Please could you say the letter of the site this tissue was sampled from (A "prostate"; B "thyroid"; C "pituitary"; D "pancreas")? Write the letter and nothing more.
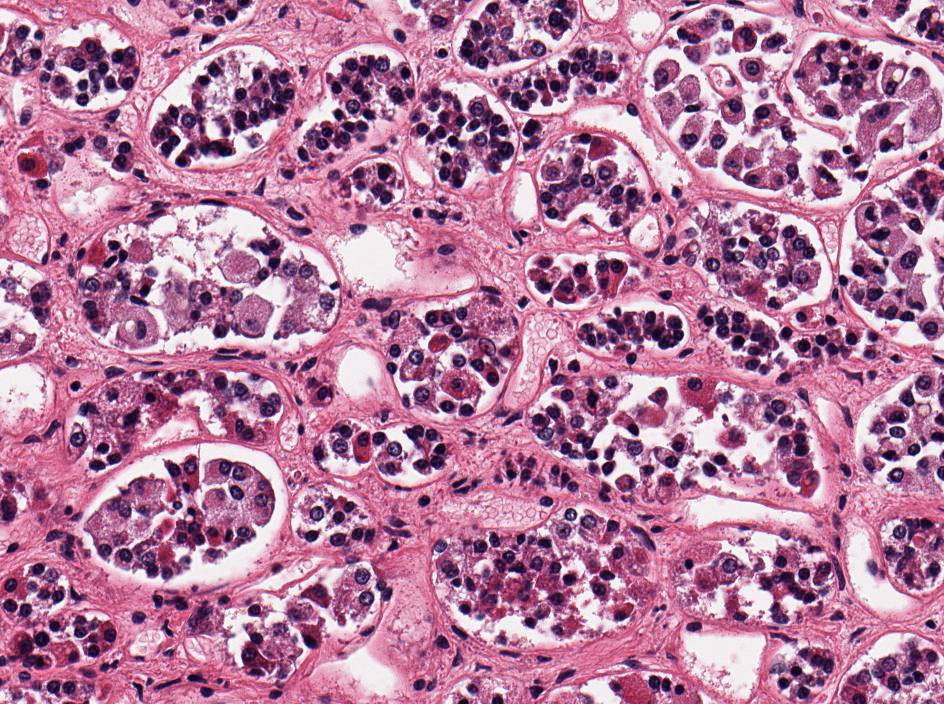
C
